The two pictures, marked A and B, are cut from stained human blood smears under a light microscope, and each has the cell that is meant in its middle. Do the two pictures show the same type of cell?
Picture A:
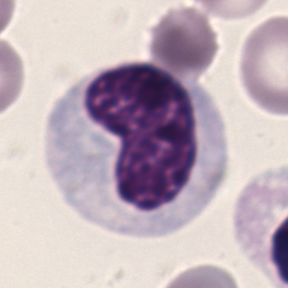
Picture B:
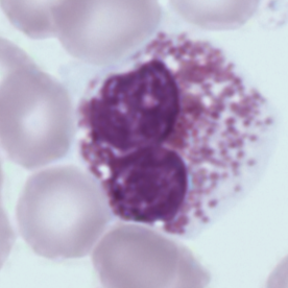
no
